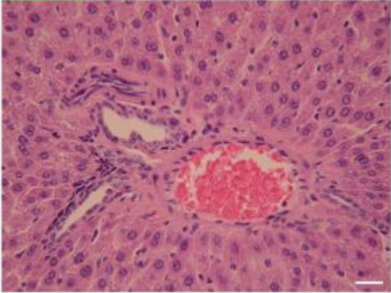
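This is the portal area of the liver. The hepatocytes are uniform and regularly arranged, showing normal structure.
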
